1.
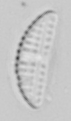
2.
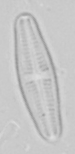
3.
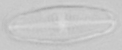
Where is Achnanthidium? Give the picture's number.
2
